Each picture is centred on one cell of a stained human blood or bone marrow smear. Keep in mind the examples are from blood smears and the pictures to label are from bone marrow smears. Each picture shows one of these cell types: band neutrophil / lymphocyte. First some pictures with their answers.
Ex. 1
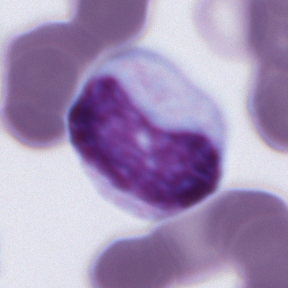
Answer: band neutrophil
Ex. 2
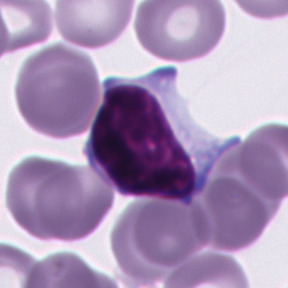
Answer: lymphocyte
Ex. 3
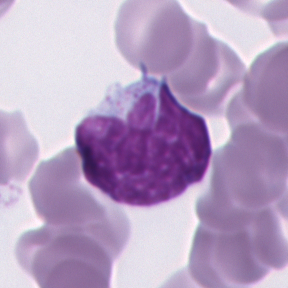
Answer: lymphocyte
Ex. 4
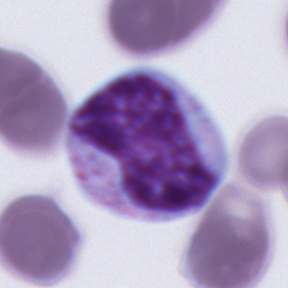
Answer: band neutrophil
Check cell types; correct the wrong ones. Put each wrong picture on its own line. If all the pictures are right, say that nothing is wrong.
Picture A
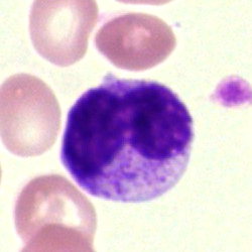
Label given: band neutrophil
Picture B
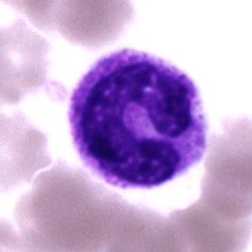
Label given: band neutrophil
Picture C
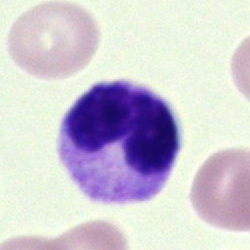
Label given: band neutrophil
All correct.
